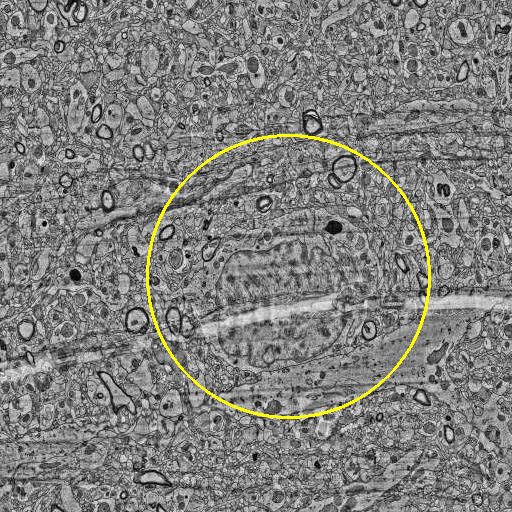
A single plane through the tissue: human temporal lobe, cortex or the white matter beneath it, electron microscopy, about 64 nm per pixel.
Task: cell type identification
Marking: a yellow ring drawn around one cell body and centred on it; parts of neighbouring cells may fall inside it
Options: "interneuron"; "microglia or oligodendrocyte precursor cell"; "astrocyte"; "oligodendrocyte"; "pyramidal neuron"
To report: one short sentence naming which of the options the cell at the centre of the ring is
The cell at the centre of the ring is an interneuron.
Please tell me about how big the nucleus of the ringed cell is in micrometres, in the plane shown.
Roughly 9 micrometres across, measured in this plane.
